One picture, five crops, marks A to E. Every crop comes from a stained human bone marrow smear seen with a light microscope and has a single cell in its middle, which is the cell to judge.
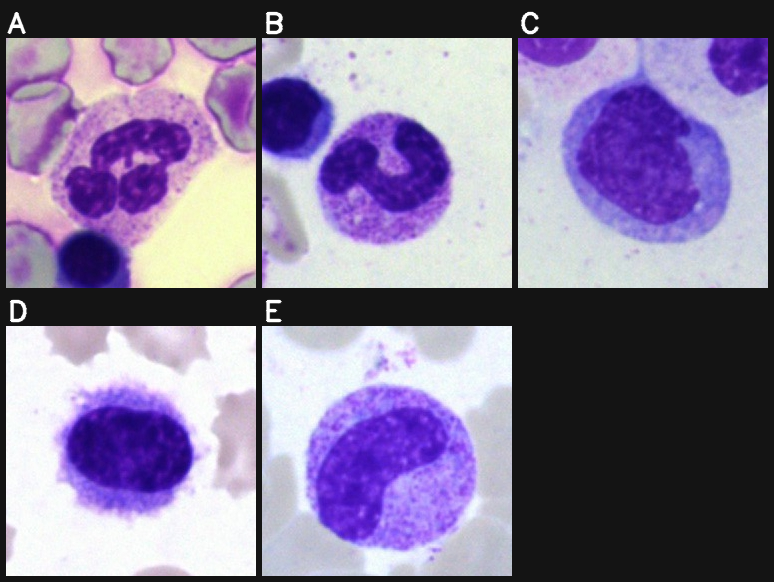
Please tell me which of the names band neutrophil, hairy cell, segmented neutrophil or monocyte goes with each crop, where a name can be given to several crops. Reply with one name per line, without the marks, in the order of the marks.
segmented neutrophil
segmented neutrophil
monocyte
hairy cell
band neutrophil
